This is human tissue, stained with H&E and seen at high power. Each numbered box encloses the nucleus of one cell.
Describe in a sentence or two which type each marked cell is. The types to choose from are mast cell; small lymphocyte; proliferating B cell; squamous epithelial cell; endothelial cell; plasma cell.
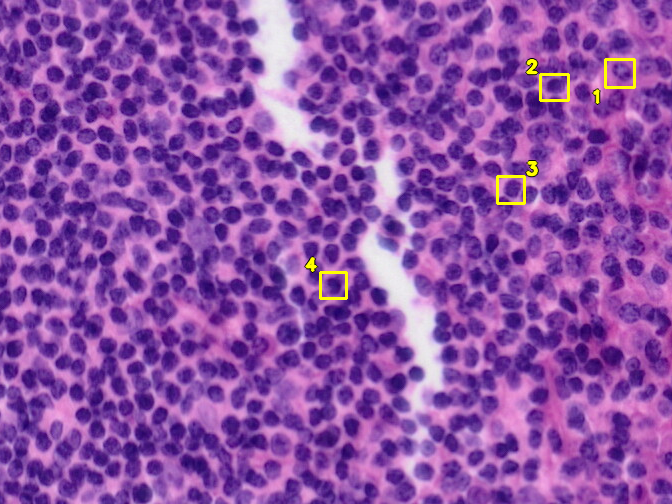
Cell 1 is a plasma cell. Cells 2, 3 and 4 are small lymphocytes.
